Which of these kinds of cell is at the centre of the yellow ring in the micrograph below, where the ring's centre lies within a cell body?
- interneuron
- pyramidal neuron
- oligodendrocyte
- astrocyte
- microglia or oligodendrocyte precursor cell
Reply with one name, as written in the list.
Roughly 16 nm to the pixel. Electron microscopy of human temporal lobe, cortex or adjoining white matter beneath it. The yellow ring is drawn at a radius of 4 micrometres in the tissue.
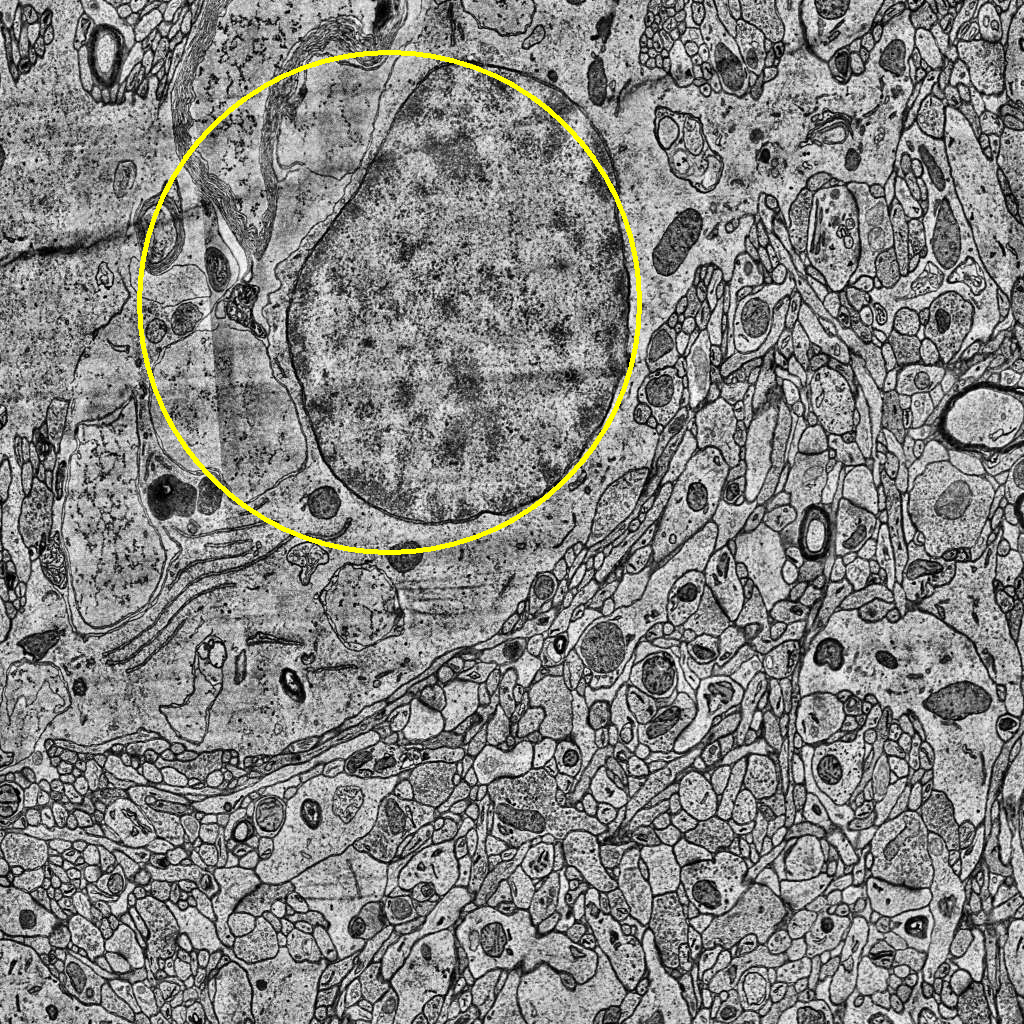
astrocyte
